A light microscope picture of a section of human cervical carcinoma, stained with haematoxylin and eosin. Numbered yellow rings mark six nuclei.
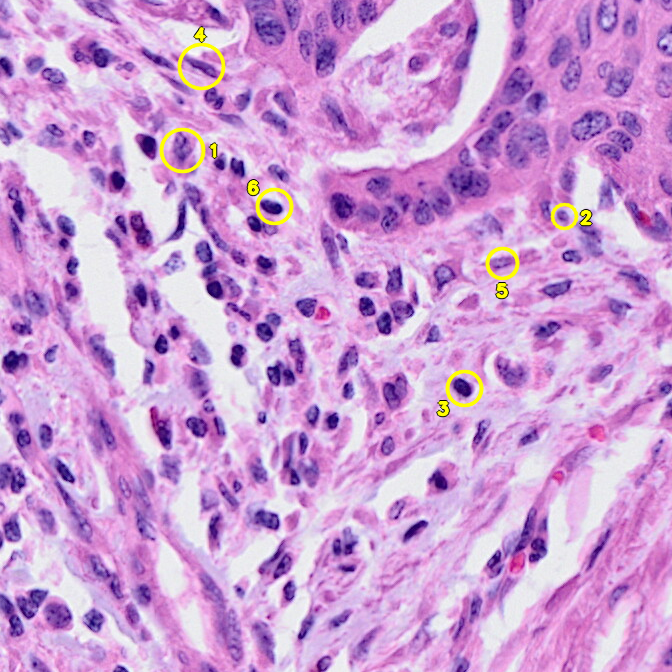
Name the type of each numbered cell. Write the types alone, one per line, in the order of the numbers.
macrophage or monocyte
fibroblast
lymphocyte
fibroblast
fibroblast
lymphocyte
